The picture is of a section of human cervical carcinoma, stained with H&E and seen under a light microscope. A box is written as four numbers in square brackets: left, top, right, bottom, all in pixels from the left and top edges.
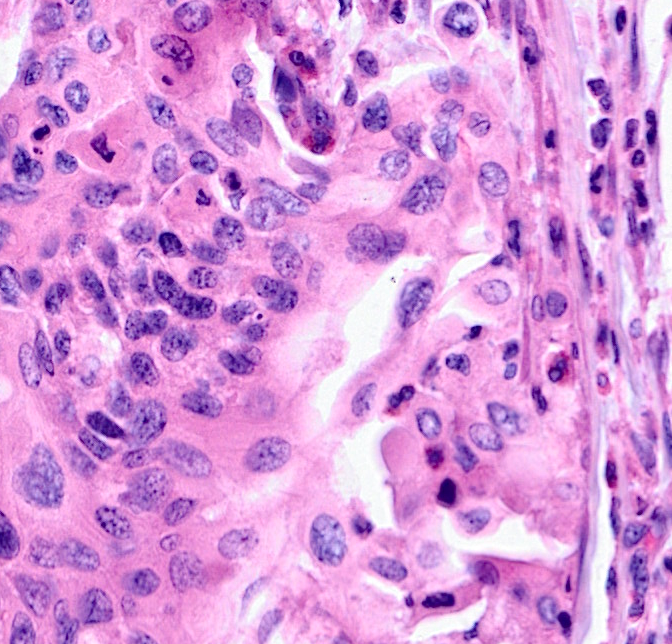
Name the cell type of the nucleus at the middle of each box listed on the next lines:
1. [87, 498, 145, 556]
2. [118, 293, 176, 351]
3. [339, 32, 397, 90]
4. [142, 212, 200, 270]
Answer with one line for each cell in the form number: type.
1: squamous carcinoma cell
2: squamous carcinoma cell
3: macrophage or monocyte
4: squamous carcinoma cell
